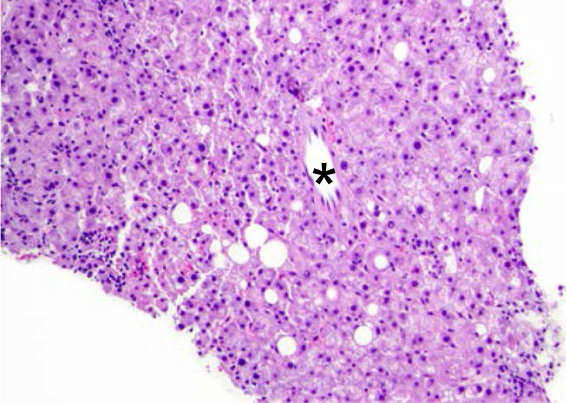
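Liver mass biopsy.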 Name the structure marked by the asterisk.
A: unpaired artery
